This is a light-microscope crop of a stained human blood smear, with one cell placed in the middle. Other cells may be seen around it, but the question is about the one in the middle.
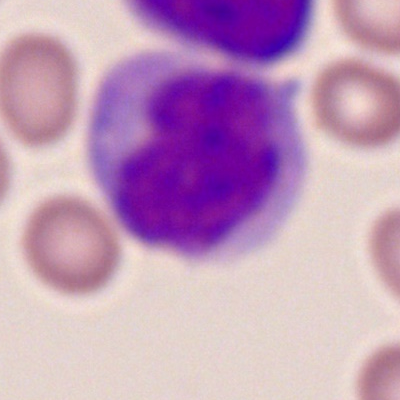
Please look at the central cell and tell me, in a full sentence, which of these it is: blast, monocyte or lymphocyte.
At the center of the crop sits a monocyte.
